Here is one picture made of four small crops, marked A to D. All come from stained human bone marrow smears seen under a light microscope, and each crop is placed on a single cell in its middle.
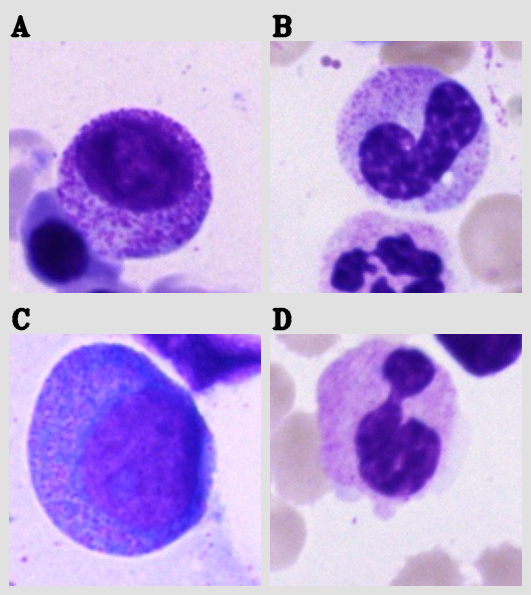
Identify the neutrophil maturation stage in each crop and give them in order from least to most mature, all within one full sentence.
Ranked from the least mature cell to the most mature, they are crop C (a promyelocyte), crop A (a myelocyte), crop B (a band neutrophil) and crop D (a segmented neutrophil).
